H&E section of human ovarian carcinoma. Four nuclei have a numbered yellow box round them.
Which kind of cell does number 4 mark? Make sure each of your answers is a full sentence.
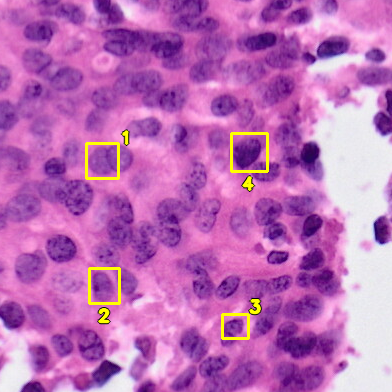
In this section, the cell tagged 4 is a carcinoma cell.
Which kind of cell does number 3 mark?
Marked with the number 3, this cell is a macrophage or monocyte.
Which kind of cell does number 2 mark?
That cell with number 2 is a carcinoma cell.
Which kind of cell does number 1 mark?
Number 1 among the marked cells is a carcinoma cell.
